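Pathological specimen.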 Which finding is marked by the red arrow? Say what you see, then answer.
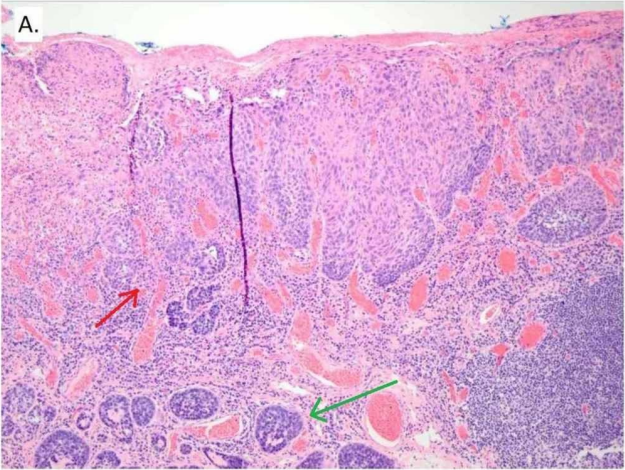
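Invasive squamous cell carcinoma. Pink-staining squamous epithelial nests extend down from the surface epithelium into the underlying stroma. The epithelium is thickened with irregular, infiltrating borders.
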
